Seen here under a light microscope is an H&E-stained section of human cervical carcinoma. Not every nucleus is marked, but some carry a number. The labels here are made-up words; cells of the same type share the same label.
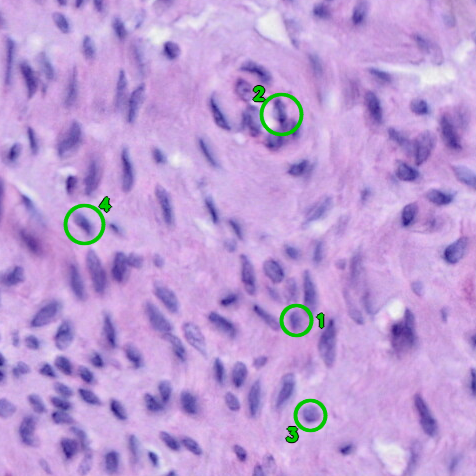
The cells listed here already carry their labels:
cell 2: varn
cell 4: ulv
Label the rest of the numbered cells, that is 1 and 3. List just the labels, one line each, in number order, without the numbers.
ulv
ulv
